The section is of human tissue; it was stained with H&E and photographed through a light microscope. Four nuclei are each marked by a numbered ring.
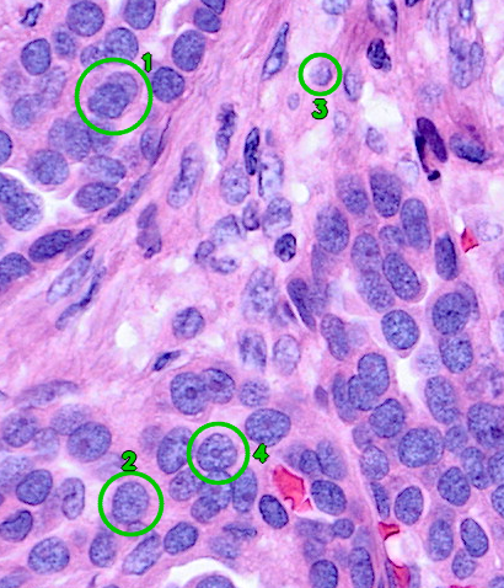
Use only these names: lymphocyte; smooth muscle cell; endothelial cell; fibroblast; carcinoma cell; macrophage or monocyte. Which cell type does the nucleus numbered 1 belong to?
carcinoma cell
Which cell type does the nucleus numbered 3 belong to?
fibroblast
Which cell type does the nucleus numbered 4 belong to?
carcinoma cell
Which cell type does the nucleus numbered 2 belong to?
carcinoma cell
